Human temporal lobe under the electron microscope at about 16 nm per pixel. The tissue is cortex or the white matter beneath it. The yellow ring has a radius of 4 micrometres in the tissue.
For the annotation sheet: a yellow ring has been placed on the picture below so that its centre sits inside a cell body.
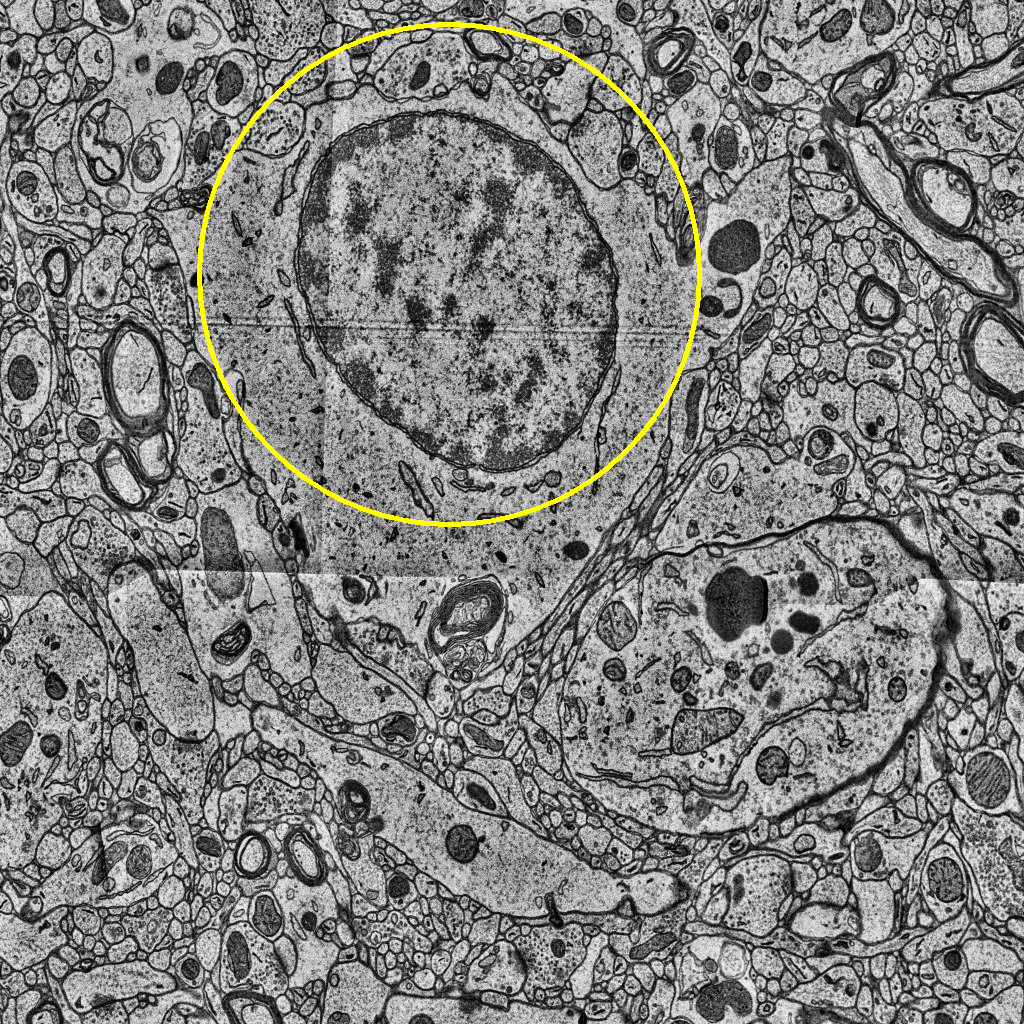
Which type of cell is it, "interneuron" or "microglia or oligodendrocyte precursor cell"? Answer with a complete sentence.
The cell at the ring's centre is a microglial cell or oligodendrocyte precursor cell.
